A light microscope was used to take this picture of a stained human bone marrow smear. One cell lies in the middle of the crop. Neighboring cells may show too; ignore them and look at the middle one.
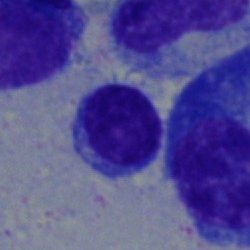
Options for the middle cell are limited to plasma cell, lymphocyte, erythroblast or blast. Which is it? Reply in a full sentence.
Within this crop, a lymphocyte occupies the central position.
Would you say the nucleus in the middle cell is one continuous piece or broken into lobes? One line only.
The nucleus is one compact mass, round, oval or kidney-shaped in outline.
